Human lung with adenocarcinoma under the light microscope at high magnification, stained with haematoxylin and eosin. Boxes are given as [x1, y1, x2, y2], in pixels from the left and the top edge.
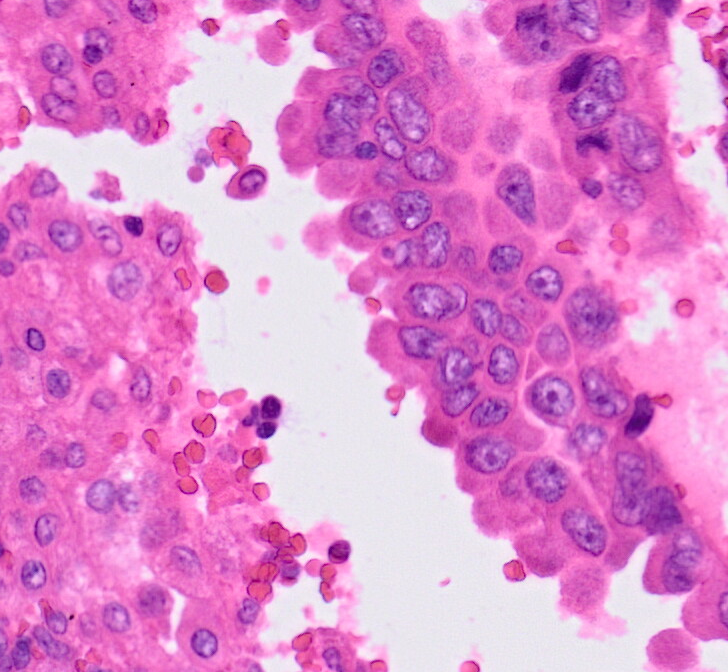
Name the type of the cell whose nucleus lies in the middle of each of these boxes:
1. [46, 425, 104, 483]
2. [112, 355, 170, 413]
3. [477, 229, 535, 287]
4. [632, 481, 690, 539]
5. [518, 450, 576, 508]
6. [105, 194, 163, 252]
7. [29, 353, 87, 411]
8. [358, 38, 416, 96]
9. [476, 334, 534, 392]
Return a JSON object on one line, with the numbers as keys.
{"1": "macrophage or monocyte", "2": "macrophage or monocyte", "3": "carcinoma cell", "4": "carcinoma cell", "5": "carcinoma cell", "6": "lymphocyte", "7": "macrophage or monocyte", "8": "carcinoma cell", "9": "carcinoma cell"}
